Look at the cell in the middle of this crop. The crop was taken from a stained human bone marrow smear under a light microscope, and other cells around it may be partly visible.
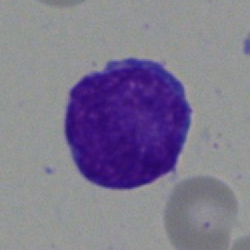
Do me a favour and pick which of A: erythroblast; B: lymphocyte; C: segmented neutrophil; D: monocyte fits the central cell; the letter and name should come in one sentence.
Well, the cell in the middle is a lymphocyte, making option B right.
